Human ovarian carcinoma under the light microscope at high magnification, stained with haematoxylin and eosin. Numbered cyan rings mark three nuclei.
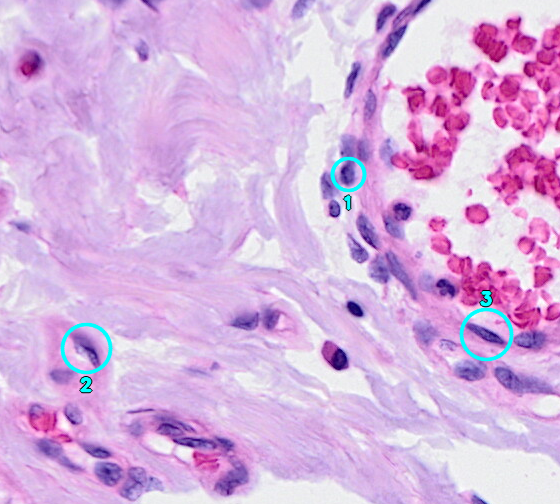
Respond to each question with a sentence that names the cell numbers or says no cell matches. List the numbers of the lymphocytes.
The nucleus labelled 1 alone belongs to a lymphocyte; the other marked nuclei do not.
